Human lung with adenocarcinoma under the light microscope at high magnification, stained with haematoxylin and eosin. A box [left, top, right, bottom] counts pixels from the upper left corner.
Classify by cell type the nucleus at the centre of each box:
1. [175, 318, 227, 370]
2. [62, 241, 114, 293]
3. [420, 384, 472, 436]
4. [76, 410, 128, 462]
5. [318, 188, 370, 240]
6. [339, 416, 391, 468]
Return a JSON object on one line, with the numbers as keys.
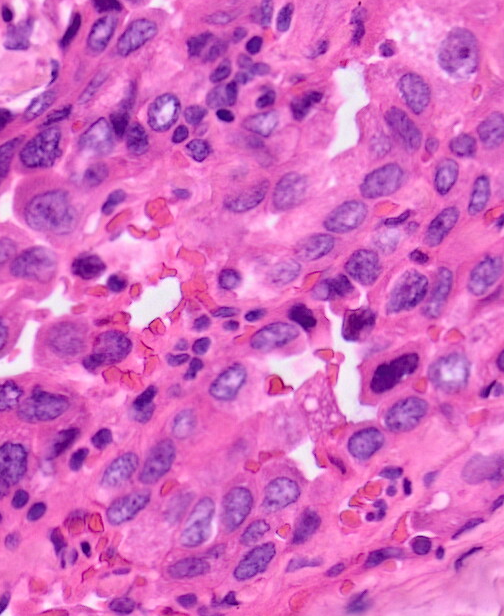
{"1": "lymphocyte", "2": "carcinoma cell", "3": "carcinoma cell", "4": "lymphocyte", "5": "carcinoma cell", "6": "carcinoma cell"}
